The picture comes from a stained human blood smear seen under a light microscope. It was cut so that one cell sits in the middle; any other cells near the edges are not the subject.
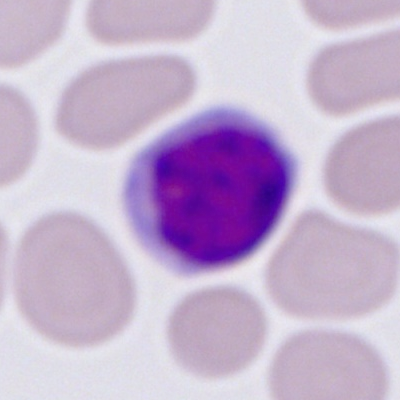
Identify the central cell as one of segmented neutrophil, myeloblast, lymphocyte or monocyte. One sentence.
Centred in the crop is a lymphocyte.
